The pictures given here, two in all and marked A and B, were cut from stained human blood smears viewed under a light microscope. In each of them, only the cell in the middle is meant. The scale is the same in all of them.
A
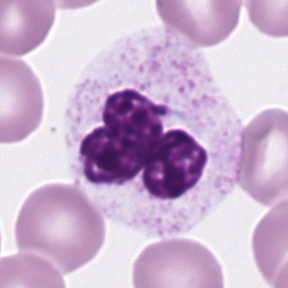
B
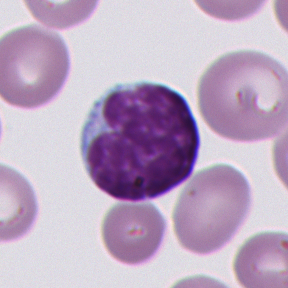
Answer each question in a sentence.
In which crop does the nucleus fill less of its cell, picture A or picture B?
Of the two, the nucleus in picture A leaves more room for cytoplasm.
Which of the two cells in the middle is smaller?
The cell in picture B is smaller; the one in picture A has about 2 times its area.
